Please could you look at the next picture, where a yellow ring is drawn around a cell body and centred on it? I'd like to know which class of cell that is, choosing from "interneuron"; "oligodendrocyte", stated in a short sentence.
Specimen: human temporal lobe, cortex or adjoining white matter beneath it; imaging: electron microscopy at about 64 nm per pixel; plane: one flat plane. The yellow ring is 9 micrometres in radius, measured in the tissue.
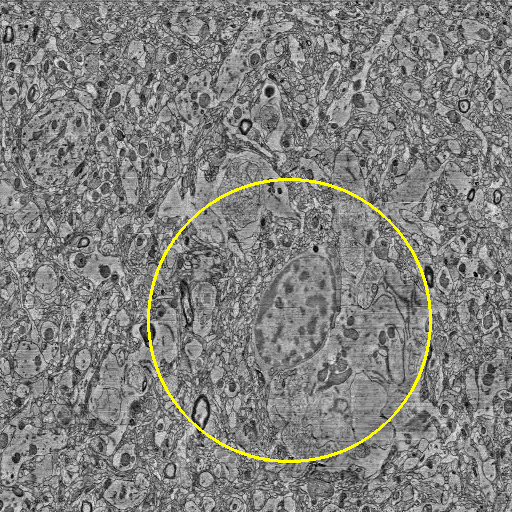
The ring's centre lies on an oligodendrocyte.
